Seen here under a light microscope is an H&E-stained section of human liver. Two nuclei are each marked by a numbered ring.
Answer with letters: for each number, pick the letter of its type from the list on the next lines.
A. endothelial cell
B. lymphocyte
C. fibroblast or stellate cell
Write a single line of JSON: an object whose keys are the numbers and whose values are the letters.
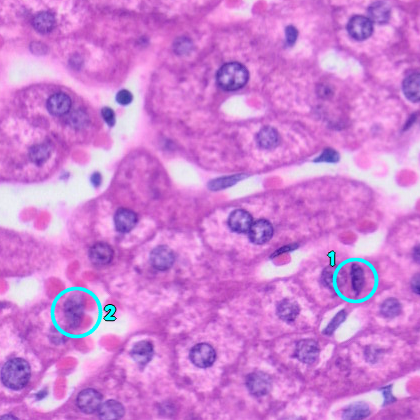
{"1": "C", "2": "A"}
